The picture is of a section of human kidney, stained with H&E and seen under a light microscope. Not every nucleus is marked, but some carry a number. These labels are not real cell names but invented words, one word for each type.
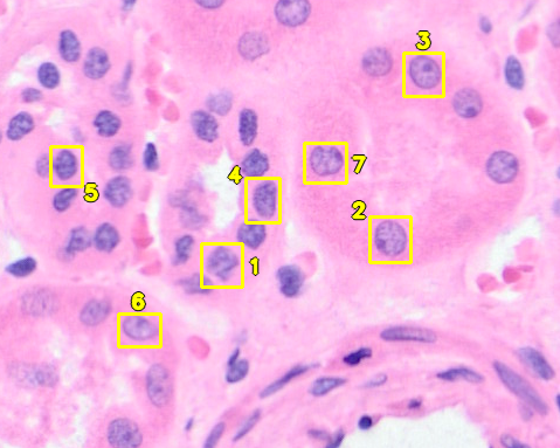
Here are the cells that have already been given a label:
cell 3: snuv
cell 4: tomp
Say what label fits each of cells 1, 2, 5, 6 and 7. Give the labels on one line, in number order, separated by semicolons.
tomp; snuv; tomp; snuv; snuv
